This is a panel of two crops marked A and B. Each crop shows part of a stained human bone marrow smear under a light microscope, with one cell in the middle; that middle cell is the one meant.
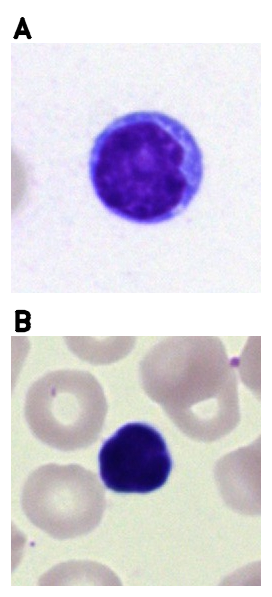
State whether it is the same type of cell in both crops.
yes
